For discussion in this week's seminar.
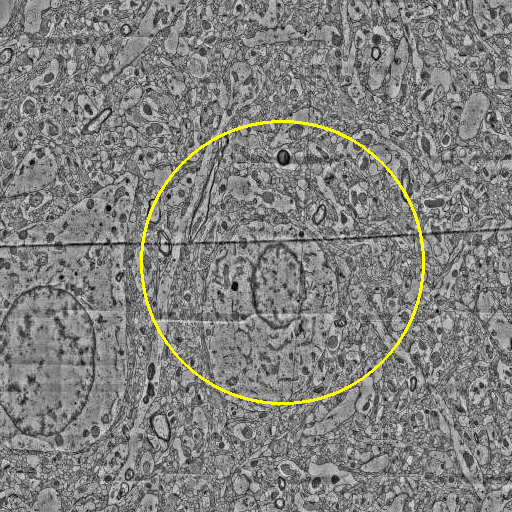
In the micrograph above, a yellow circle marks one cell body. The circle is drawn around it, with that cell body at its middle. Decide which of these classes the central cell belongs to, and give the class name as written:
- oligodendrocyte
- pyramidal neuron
pyramidal neuron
